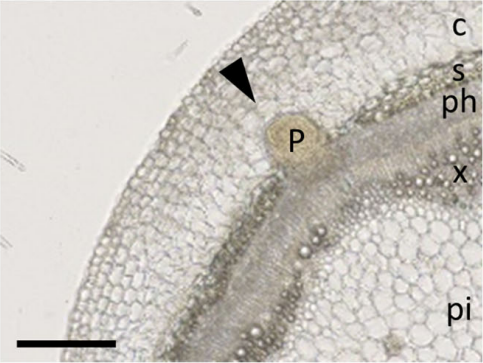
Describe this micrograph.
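A stem cross-section sector showing an adventitious root primordium arising at the outer edge of the vascular tissue. The primordium is a small, rounded, yellowish-brown body of densely packed small cells, bulging outwards into the cortex. Outside lies a cortex of several layers of small, thin-walled parenchyma cells, then a thin band of sclerenchyma and a band of phloem. Large, thin-walled pith cells fill the centre.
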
